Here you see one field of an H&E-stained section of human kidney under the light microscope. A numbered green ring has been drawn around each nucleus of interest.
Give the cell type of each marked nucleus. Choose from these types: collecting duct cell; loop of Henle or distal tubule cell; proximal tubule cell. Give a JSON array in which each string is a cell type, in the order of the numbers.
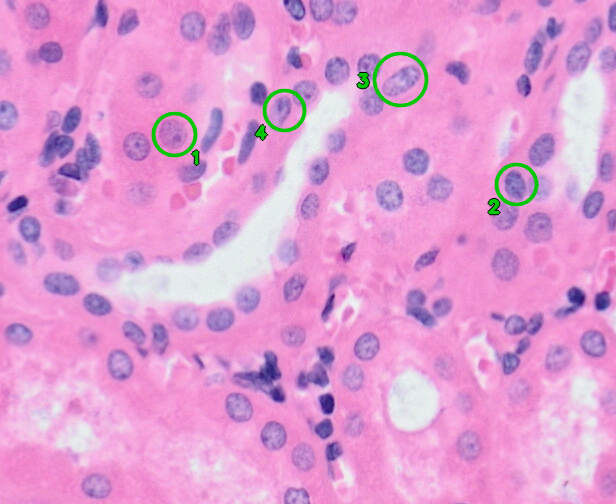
["proximal tubule cell", "collecting duct cell", "collecting duct cell", "collecting duct cell"]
